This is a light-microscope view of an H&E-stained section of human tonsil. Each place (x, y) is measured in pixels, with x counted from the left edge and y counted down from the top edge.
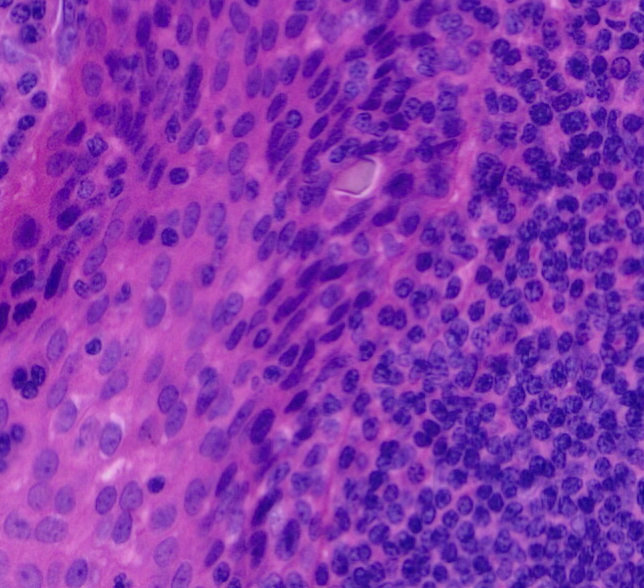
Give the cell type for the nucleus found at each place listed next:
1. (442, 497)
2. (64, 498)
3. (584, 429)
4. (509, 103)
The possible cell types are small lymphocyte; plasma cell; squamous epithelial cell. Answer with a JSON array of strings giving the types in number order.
["small lymphocyte", "squamous epithelial cell", "small lymphocyte", "plasma cell"]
